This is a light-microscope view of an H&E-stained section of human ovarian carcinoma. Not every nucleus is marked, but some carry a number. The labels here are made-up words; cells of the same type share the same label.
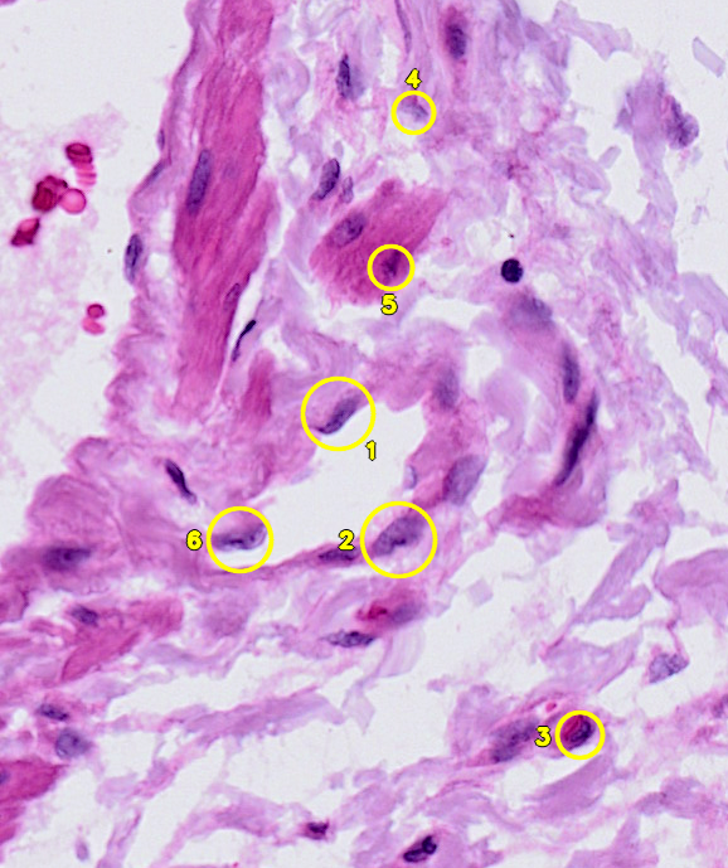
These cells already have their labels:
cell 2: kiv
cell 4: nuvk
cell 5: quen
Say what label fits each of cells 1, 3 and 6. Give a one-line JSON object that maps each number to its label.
{"1": "kiv", "3": "kiv", "6": "kiv"}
